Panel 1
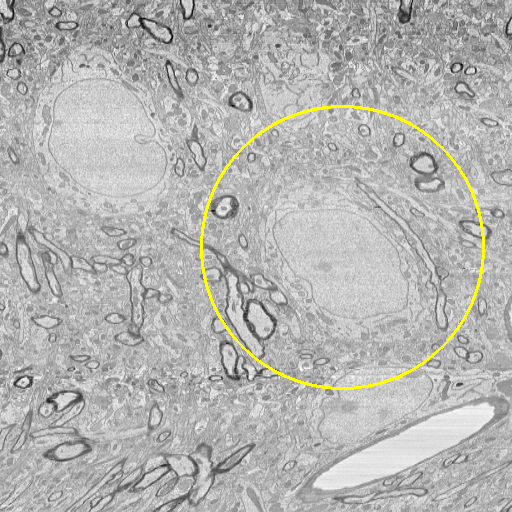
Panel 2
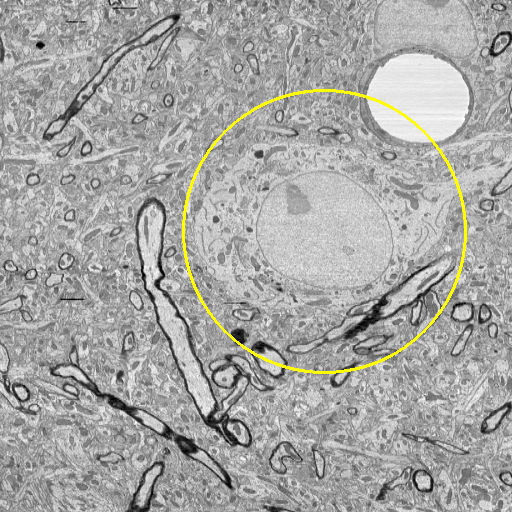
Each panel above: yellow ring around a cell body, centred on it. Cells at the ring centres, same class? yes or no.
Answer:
yes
